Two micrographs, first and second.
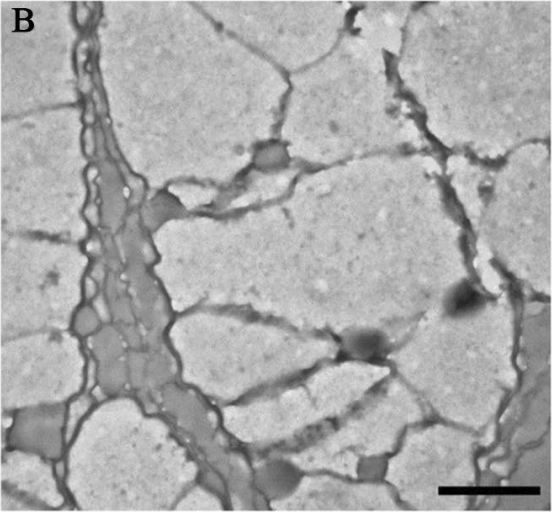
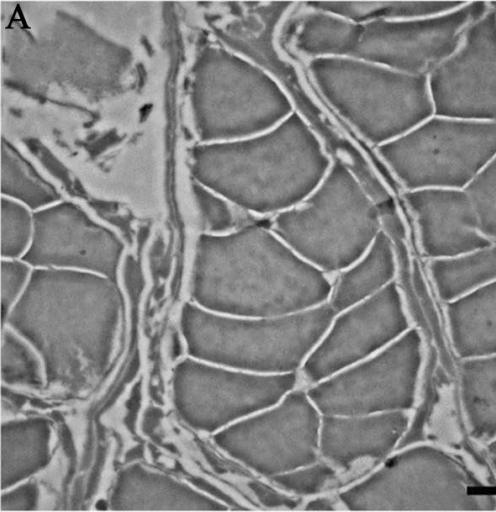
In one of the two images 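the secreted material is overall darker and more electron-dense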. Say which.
The second image.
